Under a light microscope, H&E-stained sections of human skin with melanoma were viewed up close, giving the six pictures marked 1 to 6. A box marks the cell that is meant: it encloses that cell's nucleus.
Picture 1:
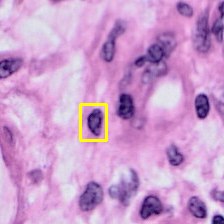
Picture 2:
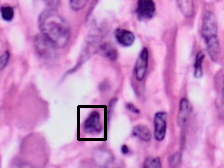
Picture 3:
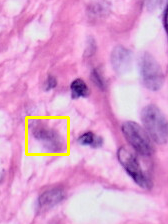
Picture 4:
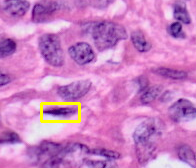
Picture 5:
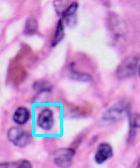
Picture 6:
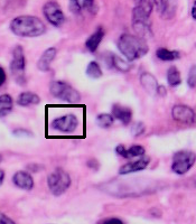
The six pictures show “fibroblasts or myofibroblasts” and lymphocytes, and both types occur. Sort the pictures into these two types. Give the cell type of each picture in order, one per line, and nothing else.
lymphocyte
lymphocyte
fibroblast or myofibroblast
fibroblast or myofibroblast
lymphocyte
lymphocyte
